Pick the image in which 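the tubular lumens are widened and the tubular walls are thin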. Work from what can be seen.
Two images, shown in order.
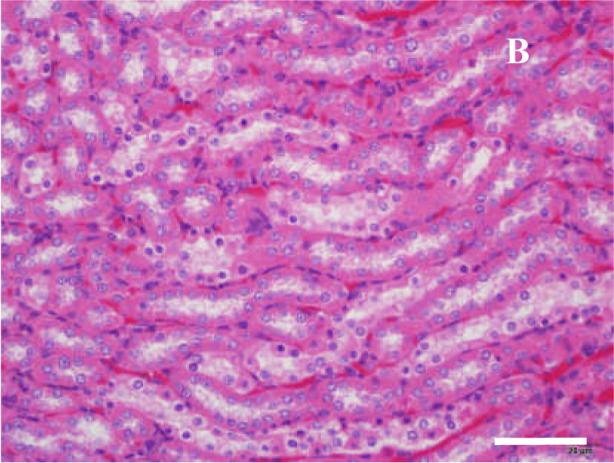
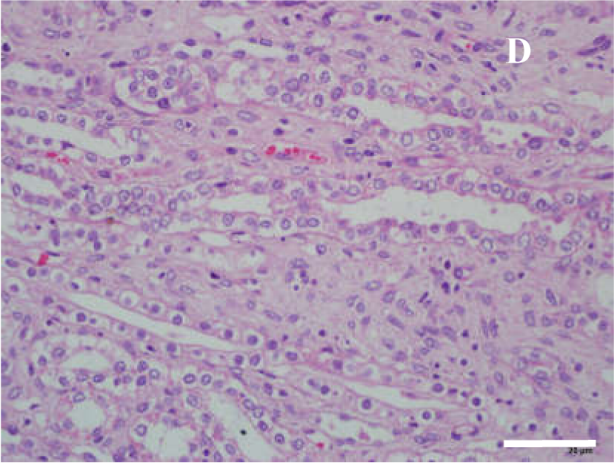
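First image: tubules are tightly packed with narrow lumens and tall cuboidal lining cells.
Hence: the second image.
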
